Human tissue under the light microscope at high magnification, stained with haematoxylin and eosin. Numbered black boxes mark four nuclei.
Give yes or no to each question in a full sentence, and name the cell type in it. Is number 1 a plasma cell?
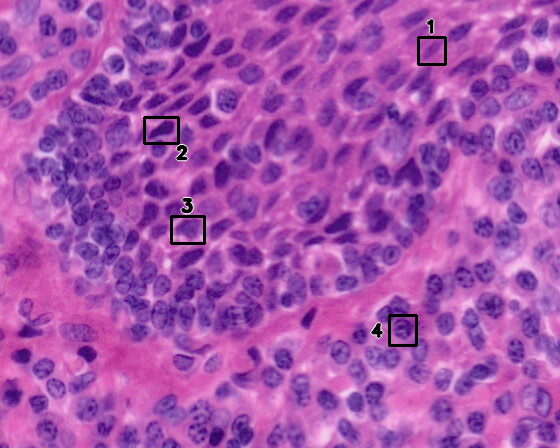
No, a squamous epithelial cell, not a plasma cell, is the cell with number 1.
